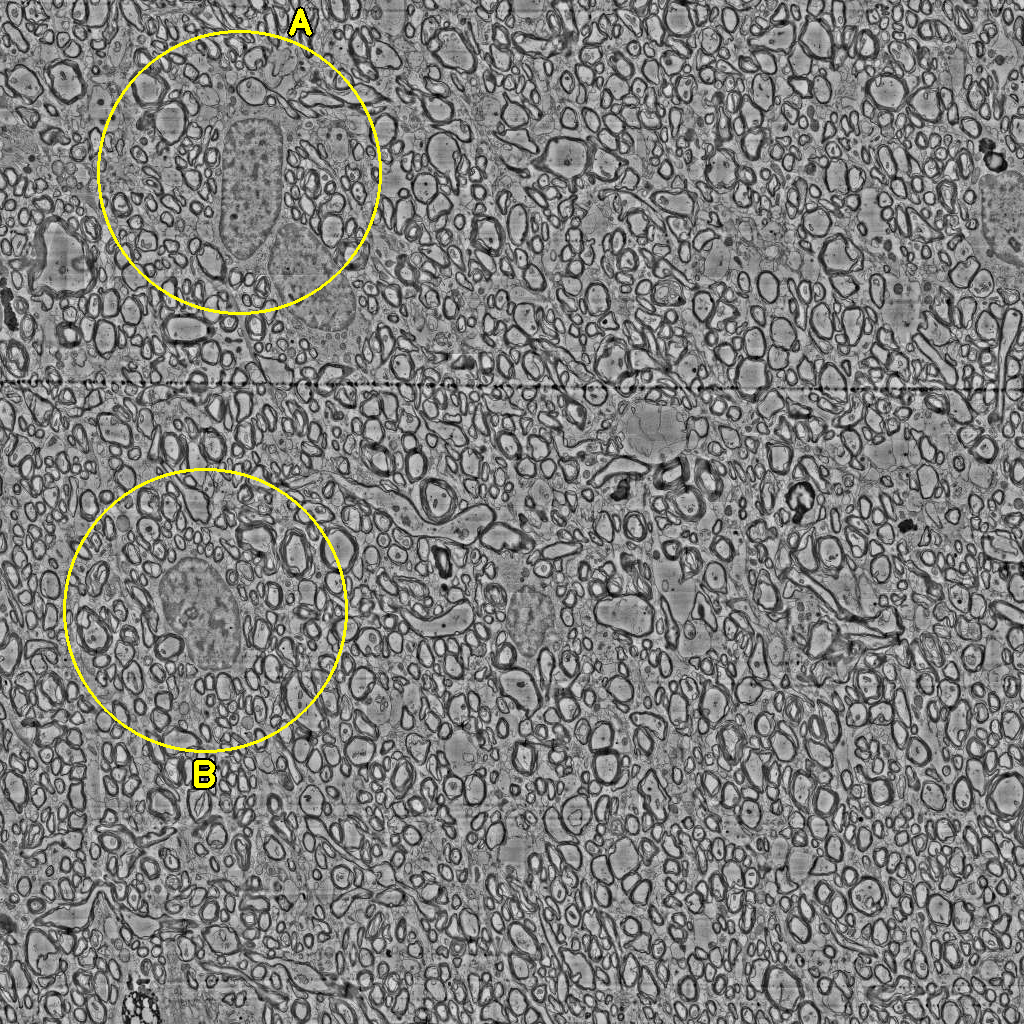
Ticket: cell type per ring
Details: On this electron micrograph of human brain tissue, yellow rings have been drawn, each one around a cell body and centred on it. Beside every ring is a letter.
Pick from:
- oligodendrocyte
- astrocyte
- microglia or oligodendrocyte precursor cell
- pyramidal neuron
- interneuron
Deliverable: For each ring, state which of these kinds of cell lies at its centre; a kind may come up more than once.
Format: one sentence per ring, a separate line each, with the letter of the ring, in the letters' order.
The cell body ringed as A belongs to an oligodendrocyte.
The cell body ringed as B belongs to an oligodendrocyte.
